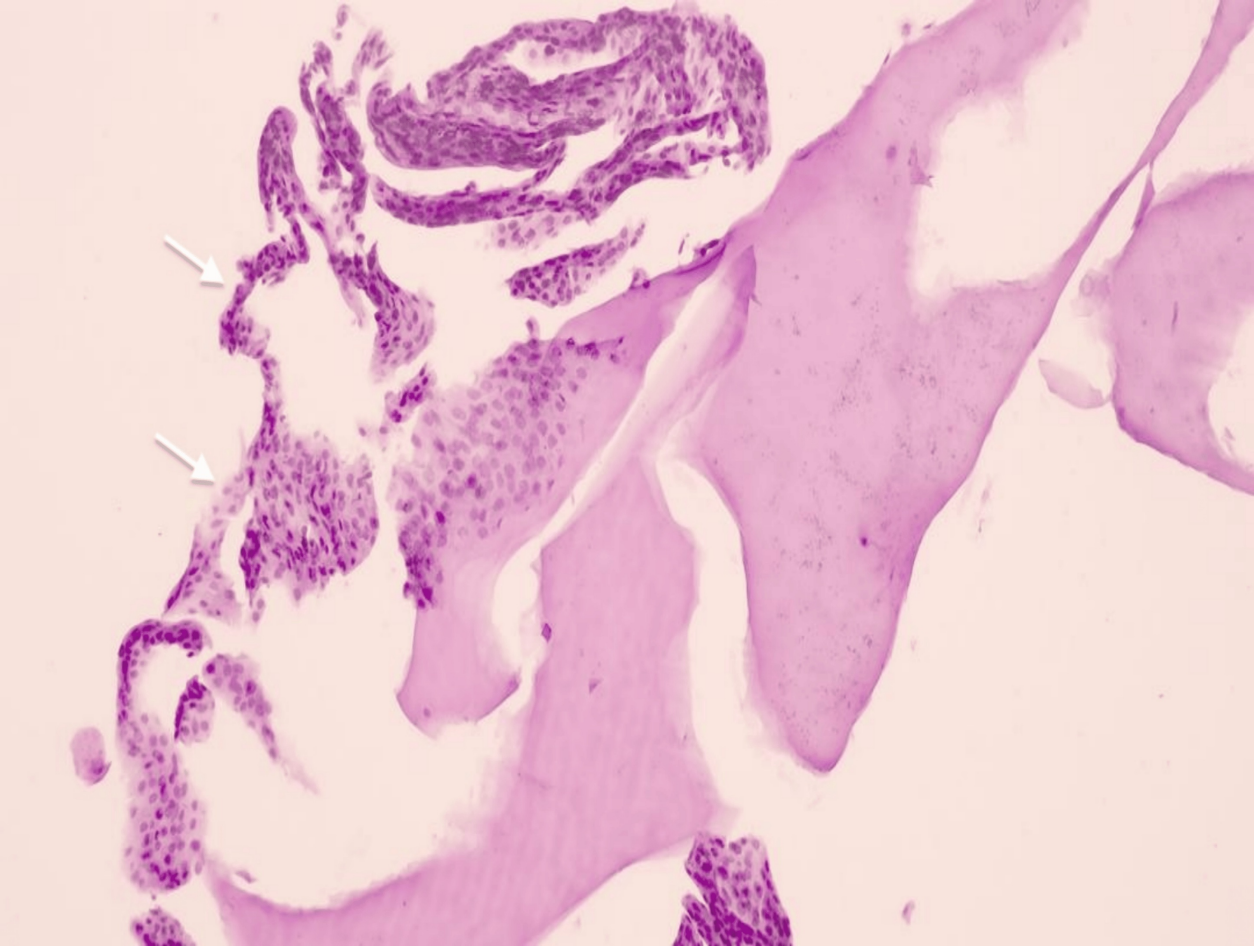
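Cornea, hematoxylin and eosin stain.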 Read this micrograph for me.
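Strips and folded fragments of nonkeratinized stratified squamous epithelium lie along the left and upper part of the field, next to broad bands of pale pink, nearly acellular tissue. No keratin layer covers the surface. One epithelial sheet lies directly against the pink tissue, while other fragments float separately in the clear spaces.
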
